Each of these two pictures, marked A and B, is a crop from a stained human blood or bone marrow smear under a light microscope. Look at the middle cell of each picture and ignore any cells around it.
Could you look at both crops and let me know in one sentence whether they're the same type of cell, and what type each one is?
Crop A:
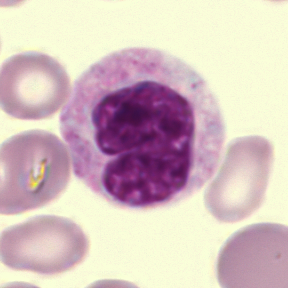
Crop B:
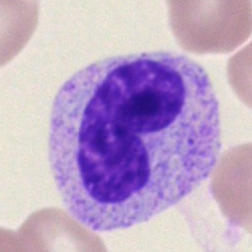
No, a metamyelocyte is the cell in crop B, and crop A contains a band neutrophil.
